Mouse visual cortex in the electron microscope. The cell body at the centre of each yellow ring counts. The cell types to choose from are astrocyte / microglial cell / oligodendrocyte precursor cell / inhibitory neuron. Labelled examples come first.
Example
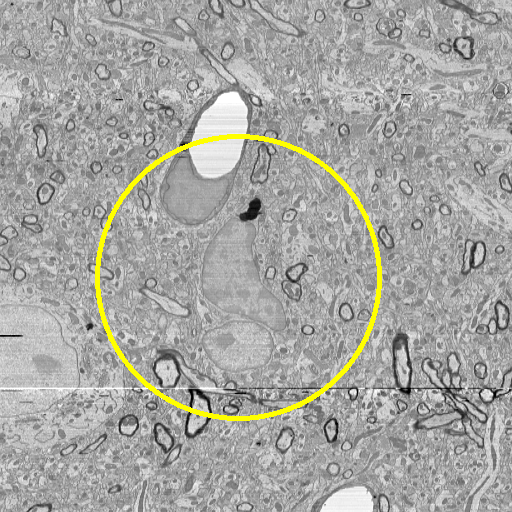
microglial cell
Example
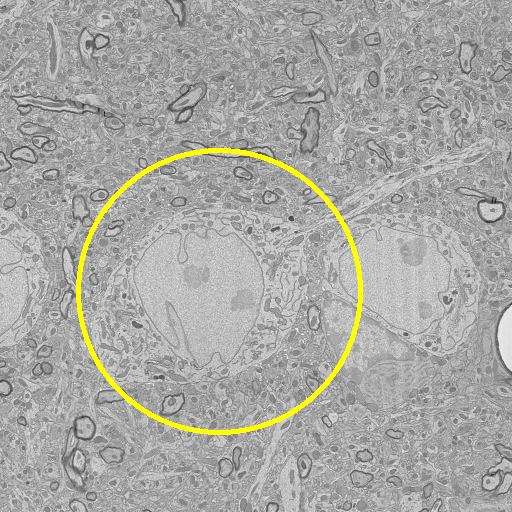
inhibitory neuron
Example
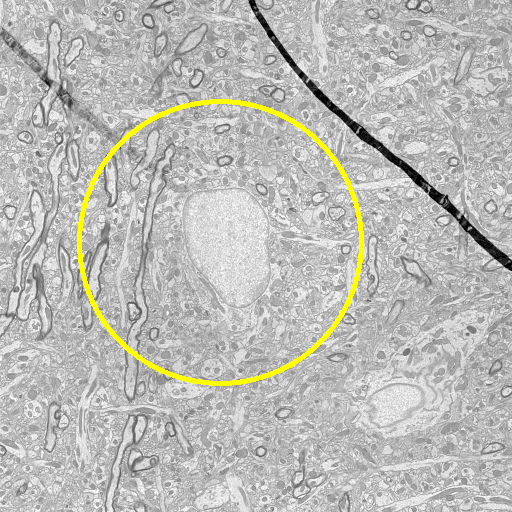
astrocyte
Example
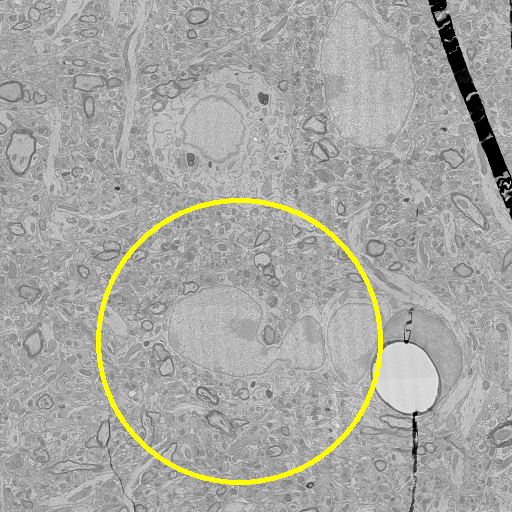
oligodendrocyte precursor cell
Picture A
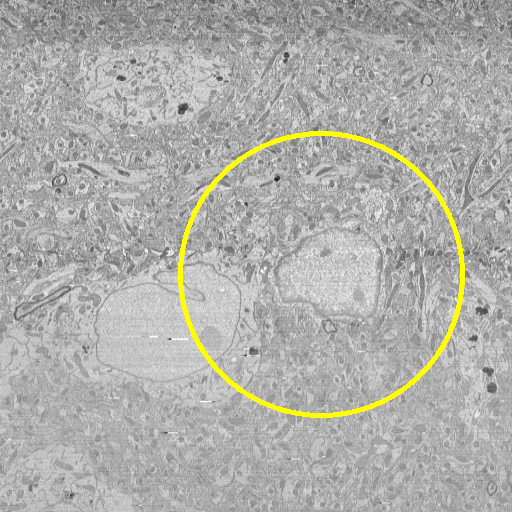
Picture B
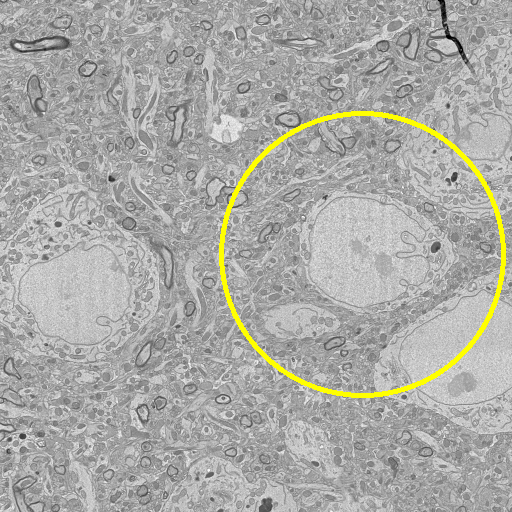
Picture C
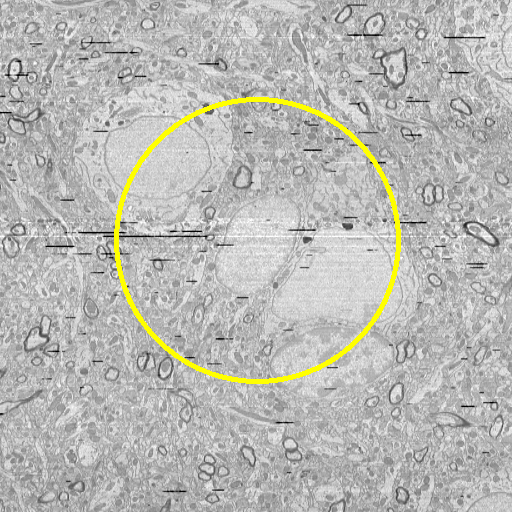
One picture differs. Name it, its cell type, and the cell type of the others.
B: inhibitory neuron; all the others: astrocyte.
